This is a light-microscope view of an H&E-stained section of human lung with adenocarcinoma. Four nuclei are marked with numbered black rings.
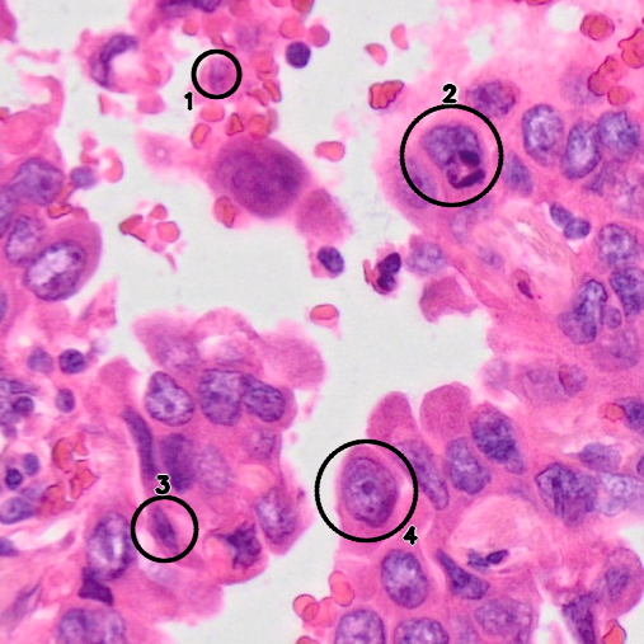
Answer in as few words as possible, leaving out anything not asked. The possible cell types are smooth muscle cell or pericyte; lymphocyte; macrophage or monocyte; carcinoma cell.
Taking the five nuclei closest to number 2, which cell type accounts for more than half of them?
carcinoma cell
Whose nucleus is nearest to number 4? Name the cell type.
carcinoma cell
